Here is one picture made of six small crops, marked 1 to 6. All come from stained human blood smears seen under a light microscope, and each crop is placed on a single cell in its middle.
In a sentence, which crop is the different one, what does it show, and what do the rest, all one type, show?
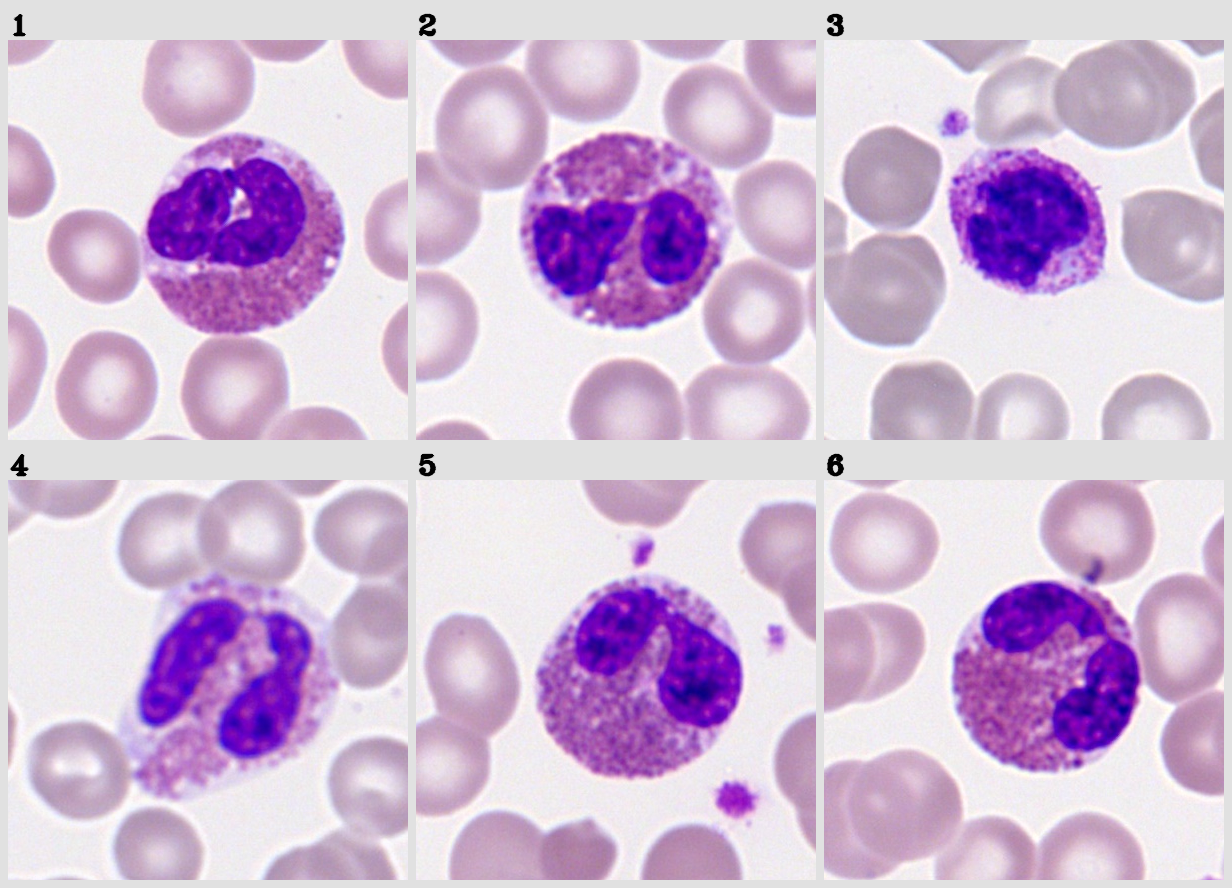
Crop 3 presents a basophil, while eosinophils are presented by all other crops.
